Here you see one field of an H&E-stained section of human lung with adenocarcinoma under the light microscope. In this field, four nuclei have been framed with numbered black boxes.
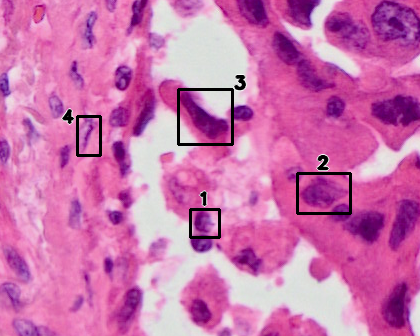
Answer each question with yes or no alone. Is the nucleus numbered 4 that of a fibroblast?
yes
